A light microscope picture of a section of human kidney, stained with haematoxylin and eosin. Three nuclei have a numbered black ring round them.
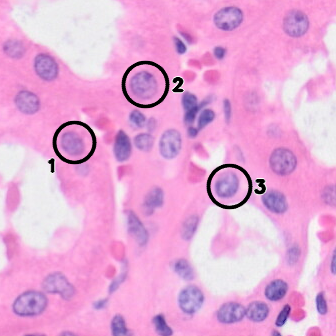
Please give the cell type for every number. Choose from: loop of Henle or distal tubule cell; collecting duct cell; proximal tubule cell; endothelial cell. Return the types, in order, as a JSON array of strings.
["proximal tubule cell", "proximal tubule cell", "collecting duct cell"]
